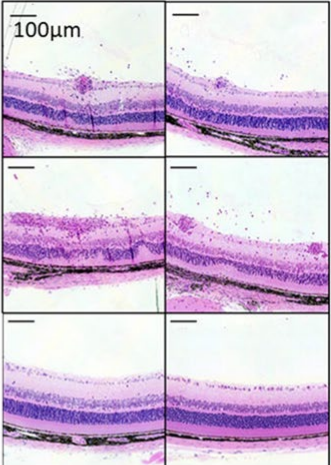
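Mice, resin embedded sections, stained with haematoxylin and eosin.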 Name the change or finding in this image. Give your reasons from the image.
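In the upper images, scattered dark nuclei lie in the pale space above the inner surface of the layered tissue. Small purple cell clusters sit on the inner surface in the upper images. The bottom images have a clean inner surface with no cells above it.
Vitreous cell infiltrates.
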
